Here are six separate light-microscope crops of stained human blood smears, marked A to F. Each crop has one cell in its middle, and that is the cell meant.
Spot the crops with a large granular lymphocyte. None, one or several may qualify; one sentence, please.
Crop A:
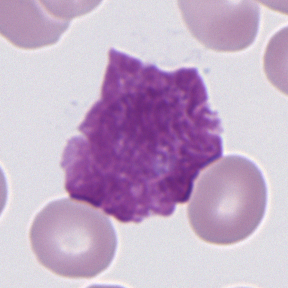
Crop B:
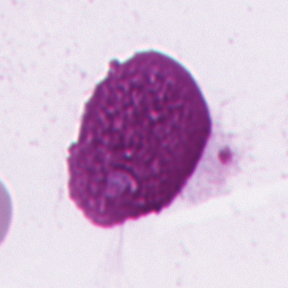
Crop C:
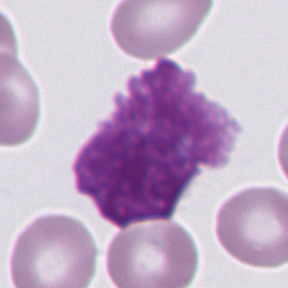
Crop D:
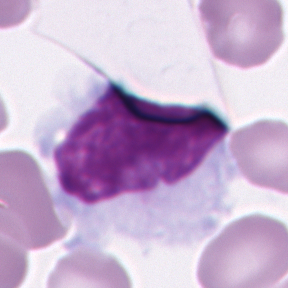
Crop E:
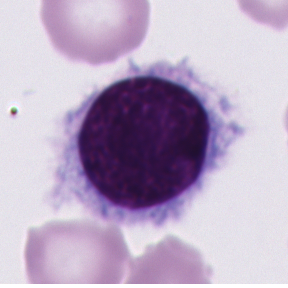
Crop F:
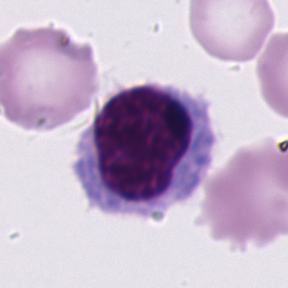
Not one crop in the set is centred on a large granular lymphocyte.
